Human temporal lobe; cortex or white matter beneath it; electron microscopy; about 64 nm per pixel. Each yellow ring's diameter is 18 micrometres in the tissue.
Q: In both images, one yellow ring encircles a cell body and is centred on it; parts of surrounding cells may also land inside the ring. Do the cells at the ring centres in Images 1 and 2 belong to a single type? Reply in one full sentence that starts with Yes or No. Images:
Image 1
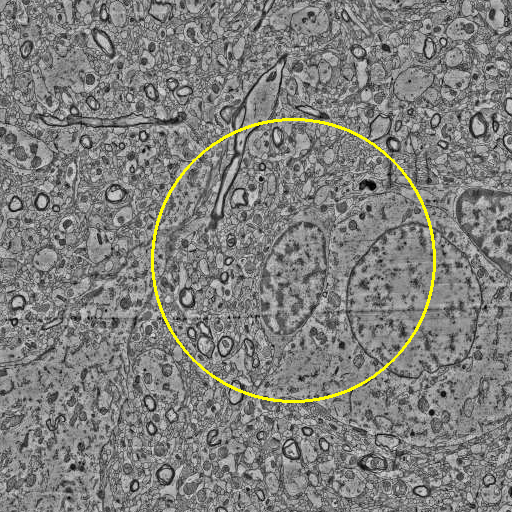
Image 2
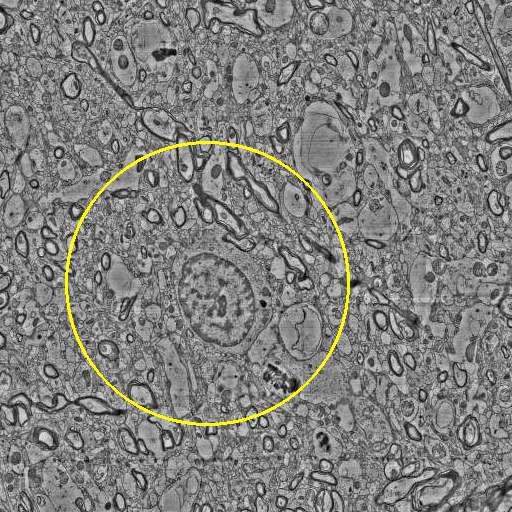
Yes, the cells at the ring centres in Images 1 and 2 are of a single type.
